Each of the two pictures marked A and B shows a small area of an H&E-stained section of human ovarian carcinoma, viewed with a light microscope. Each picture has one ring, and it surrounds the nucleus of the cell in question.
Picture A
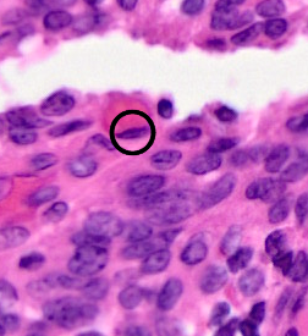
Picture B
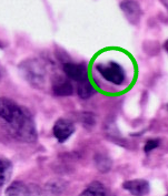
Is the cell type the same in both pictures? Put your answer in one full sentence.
No. Picture A shows an endothelial cell, but picture B shows a carcinoma cell.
